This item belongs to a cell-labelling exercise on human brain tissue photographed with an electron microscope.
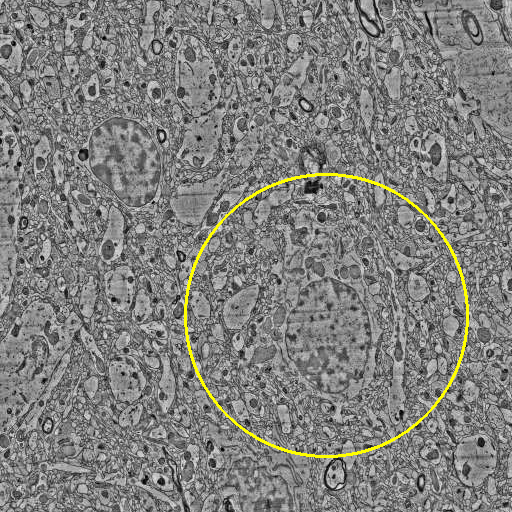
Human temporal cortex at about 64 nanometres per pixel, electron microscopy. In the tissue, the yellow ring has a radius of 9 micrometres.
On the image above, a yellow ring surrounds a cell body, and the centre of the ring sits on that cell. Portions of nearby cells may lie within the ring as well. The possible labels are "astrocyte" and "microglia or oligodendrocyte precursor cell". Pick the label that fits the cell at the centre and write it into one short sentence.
This cell should be labelled as an astrocyte.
